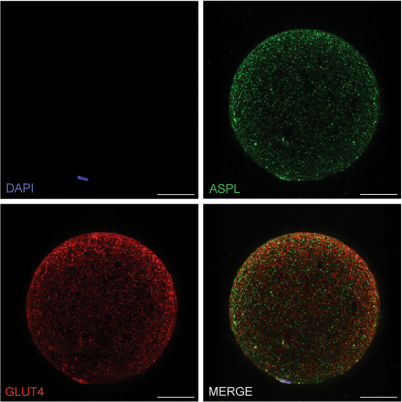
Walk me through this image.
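A single large, nearly spherical fat cell is seen in four views of the same field. The cell is broad and round, and its only nucleus is a small, flattened blue body pressed against the edge of the cell at the bottom, as expected where a large lipid store pushes the nucleus aside. Red and green signals are both fine and granular, scattered across the whole round profile, somewhat denser toward the rim, and in the combined view they intermingle as a speckled pattern over the cell. This is a mature adipocyte with its nucleus displaced to the periphery.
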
